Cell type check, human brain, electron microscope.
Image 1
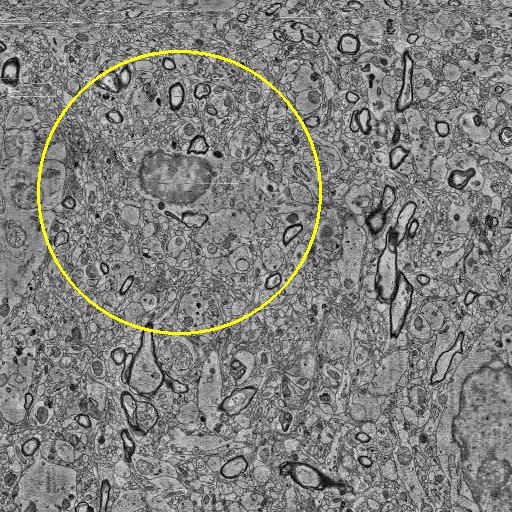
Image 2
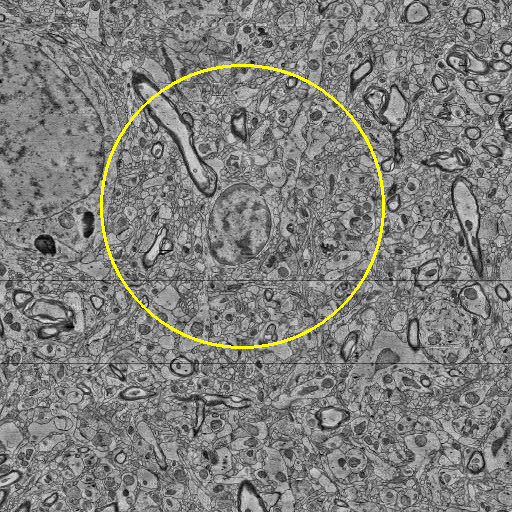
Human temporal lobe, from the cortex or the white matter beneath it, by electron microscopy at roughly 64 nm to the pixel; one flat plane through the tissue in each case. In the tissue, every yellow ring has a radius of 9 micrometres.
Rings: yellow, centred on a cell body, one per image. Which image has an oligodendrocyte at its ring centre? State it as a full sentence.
The ring in Image 1 is centred on it.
